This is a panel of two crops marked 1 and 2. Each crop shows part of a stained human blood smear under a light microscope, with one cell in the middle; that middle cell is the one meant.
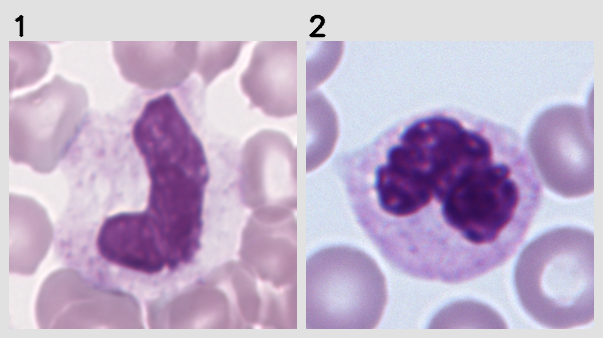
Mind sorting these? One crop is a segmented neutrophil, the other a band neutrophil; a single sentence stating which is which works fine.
Represented in crop 1 is a band neutrophil; represented in crop 2 is a segmented neutrophil.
